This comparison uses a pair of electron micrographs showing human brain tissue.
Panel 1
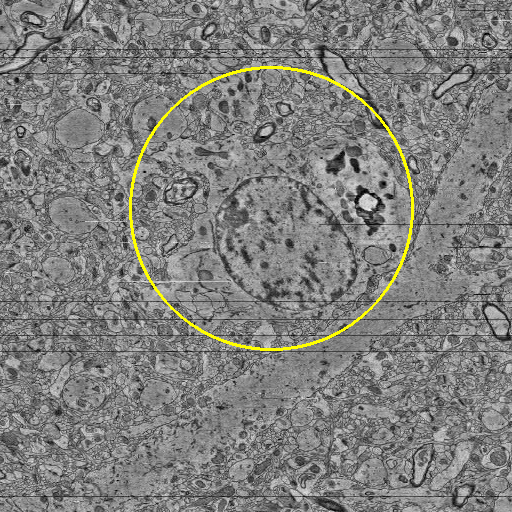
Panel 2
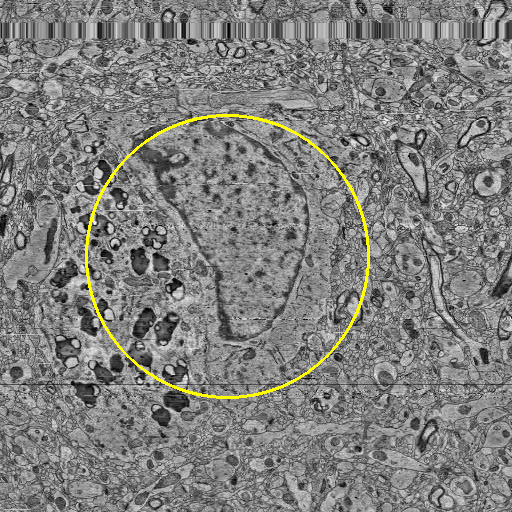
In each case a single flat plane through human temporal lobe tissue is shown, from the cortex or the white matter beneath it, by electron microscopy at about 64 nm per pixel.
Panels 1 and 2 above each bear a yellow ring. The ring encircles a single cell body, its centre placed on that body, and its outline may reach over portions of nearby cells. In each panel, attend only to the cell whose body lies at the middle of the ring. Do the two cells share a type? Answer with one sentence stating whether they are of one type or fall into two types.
In Panel 1 and Panel 2, the cells at the centres of the rings fall into two types.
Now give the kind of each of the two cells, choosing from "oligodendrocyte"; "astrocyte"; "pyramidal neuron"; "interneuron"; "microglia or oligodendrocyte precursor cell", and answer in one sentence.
The cell in the first picture is an astrocyte, and the cell in the second is a microglial cell or oligodendrocyte precursor cell.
